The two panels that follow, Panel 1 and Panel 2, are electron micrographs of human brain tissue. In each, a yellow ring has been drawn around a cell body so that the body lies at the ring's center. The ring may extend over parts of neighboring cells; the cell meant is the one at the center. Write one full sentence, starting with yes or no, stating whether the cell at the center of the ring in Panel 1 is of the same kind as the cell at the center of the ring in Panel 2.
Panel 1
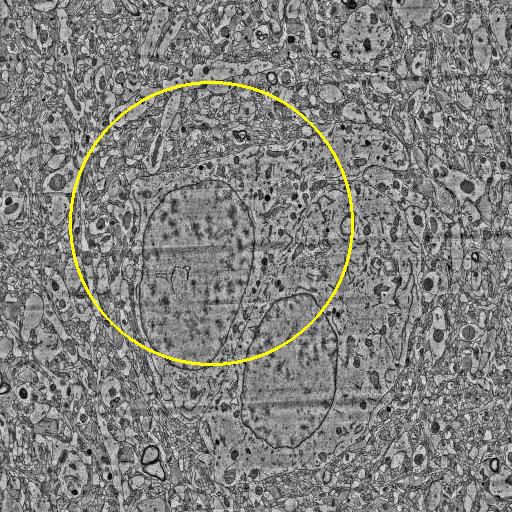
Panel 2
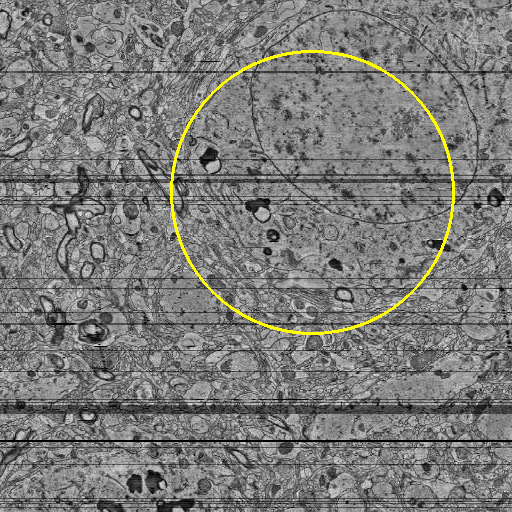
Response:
Yes, the cells in both panels are of the same kind.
